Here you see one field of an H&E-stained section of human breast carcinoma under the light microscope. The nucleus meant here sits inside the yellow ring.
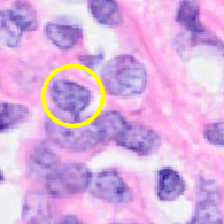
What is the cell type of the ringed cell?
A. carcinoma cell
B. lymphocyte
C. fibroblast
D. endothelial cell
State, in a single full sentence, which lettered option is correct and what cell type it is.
On this slide, the ringed cell is a carcinoma cell, so option A is right.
